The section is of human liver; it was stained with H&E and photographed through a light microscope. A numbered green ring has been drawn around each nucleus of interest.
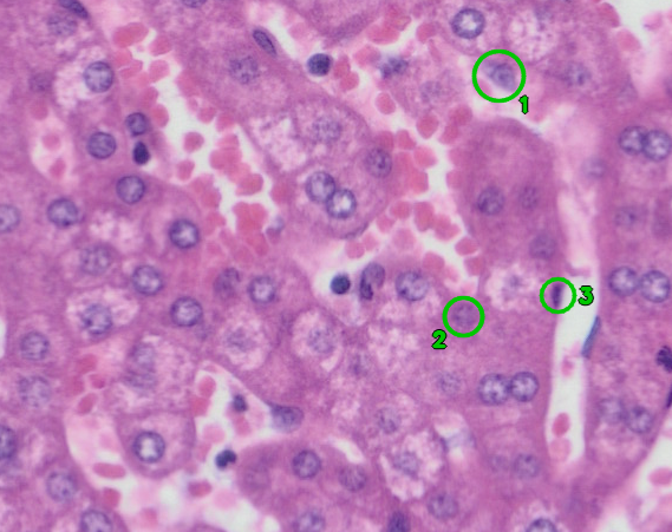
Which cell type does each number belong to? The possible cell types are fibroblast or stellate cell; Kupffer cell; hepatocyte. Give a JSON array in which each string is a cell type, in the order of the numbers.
["Kupffer cell", "hepatocyte", "fibroblast or stellate cell"]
